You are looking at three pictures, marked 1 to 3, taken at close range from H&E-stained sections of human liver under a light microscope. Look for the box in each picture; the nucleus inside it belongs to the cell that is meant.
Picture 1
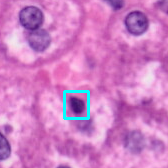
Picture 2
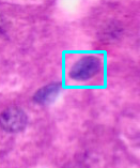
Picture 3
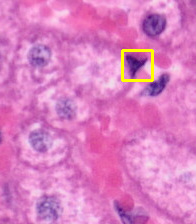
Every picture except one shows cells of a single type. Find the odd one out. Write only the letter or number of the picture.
1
